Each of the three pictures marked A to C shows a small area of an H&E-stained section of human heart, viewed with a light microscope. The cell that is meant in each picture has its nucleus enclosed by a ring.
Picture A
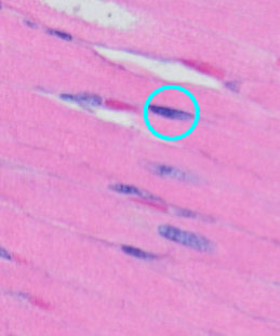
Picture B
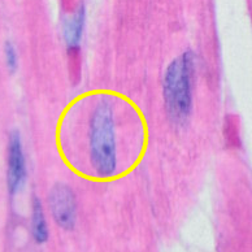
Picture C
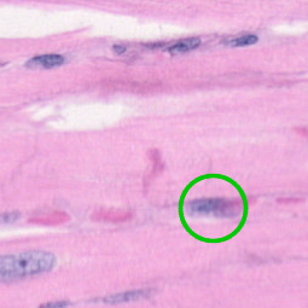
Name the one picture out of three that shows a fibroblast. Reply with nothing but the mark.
A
